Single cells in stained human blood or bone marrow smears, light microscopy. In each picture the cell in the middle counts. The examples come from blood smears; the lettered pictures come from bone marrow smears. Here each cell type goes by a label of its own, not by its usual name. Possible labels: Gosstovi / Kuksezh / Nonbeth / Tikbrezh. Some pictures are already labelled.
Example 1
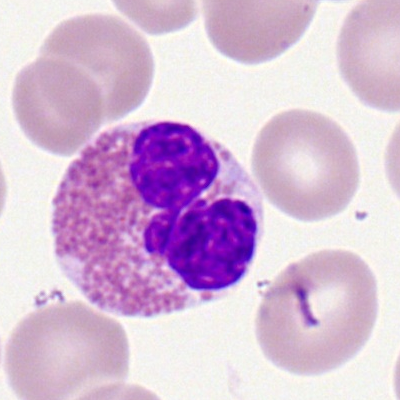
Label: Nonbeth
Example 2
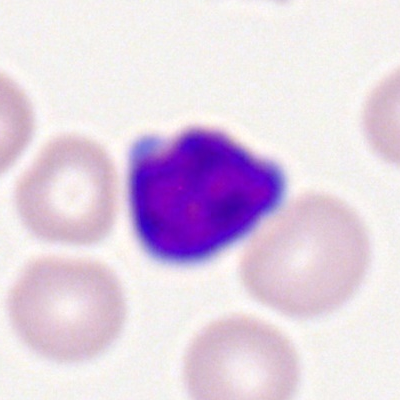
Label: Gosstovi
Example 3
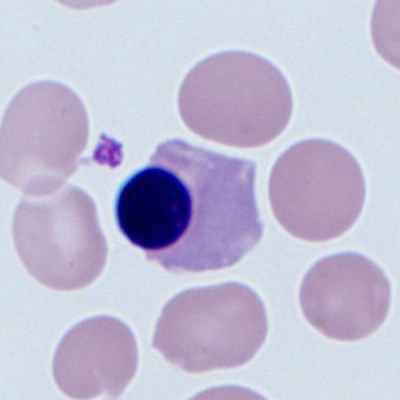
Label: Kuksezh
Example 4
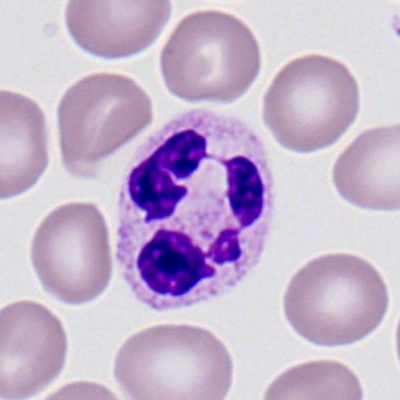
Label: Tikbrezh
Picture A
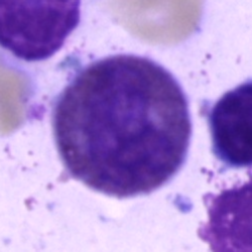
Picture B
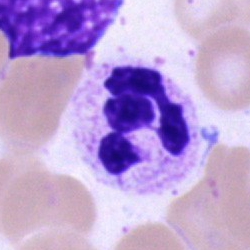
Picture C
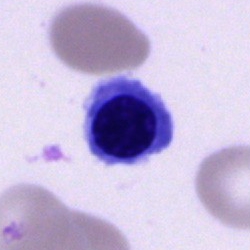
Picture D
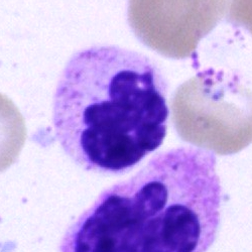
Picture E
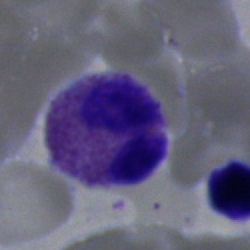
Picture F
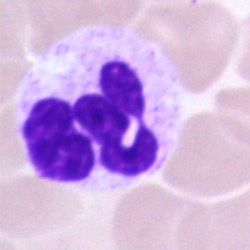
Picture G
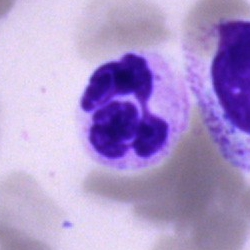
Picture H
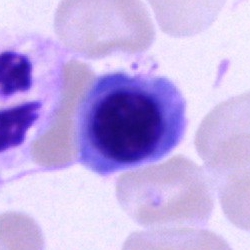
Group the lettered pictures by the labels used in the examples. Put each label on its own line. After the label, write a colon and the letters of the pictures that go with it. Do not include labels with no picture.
Kuksezh: C, H
Nonbeth: A, E
Tikbrezh: B, D, F, G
